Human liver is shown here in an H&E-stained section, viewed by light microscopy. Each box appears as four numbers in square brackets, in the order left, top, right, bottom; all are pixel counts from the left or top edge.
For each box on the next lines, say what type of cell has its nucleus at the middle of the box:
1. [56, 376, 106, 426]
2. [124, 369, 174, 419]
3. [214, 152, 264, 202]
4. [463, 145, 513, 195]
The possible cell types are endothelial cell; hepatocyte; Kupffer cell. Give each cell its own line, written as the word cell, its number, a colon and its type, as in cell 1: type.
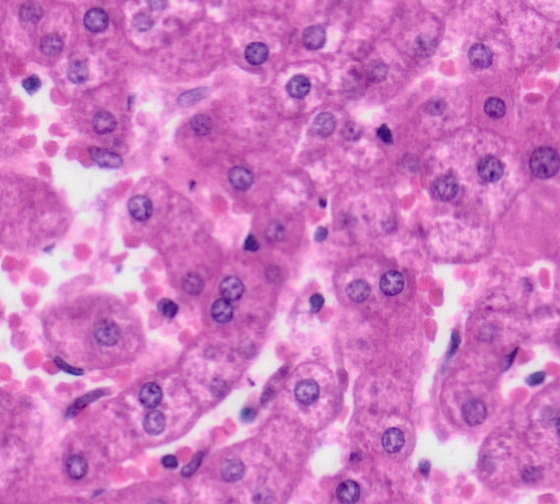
cell 1: Kupffer cell
cell 2: hepatocyte
cell 3: hepatocyte
cell 4: hepatocyte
